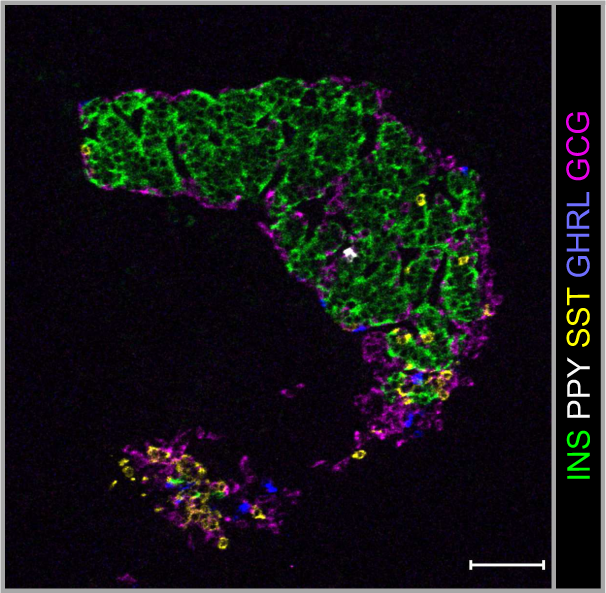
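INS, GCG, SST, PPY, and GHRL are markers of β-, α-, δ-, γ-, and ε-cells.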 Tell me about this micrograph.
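A pancreatic islet appears as a large, compact cluster of tightly packed endocrine cells against a dark background, with a smaller separate cluster below it. Green fills the cytoplasm of most cells in the upper main mass, outlining many polygonal cells in a honeycomb-like pattern. Magenta and yellow cells are found mainly along the outer rim of the main cluster and are mixed through the smaller lower cluster. A few isolated blue and white cells are scattered among them.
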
